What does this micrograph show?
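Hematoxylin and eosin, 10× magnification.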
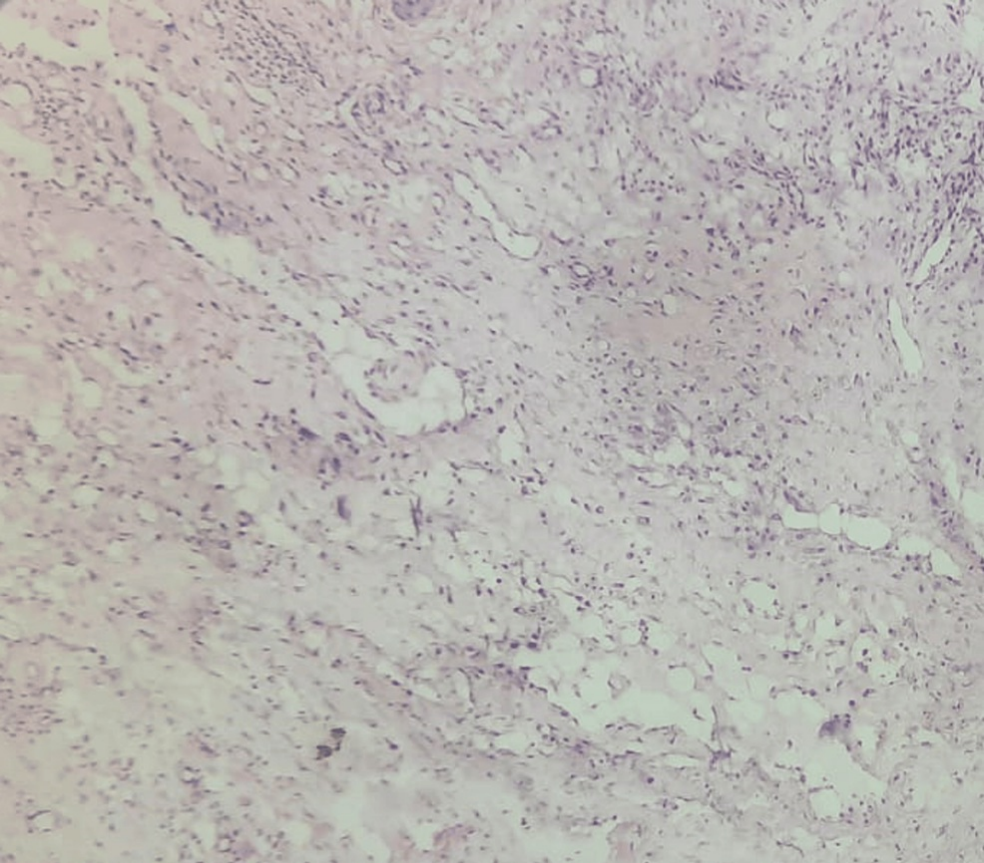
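This low-power section shows a pooled area of extravasated mucus within the tissue, with inflammatory cells around and within it. Much of the field is taken up by pale, pinkish-grey, amorphous and faintly streaky material. It contains many clear, rounded, bubble-like spaces and scattered small, dark purple nuclei. The nuclei are small and round to oval and lie loosely through the pool. They crowd more densely toward the upper right, where the tissue looks more cellular. No lining of flattened epithelial cells borders the pooled material.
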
